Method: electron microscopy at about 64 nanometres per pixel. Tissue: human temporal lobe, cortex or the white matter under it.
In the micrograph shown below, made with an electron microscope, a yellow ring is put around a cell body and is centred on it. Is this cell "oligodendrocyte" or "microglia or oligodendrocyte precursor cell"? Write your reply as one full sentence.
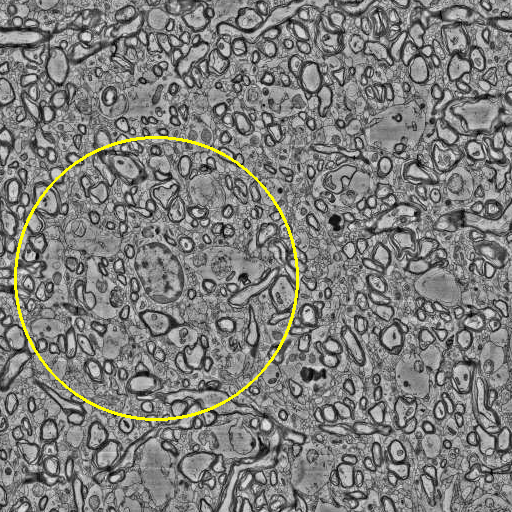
In the micrograph, a microglial cell or oligodendrocyte precursor cell is the cell at the centre of the yellow ring.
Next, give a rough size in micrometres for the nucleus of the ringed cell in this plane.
The nucleus is approximately 4 micrometers long by 3 micrometers wide in this plane.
